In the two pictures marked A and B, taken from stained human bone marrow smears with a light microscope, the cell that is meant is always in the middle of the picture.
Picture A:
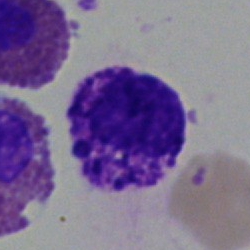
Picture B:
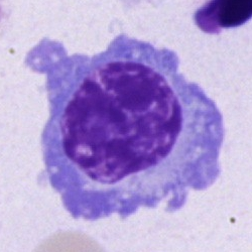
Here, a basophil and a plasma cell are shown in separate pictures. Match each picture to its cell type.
A: basophil
B: plasma cell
